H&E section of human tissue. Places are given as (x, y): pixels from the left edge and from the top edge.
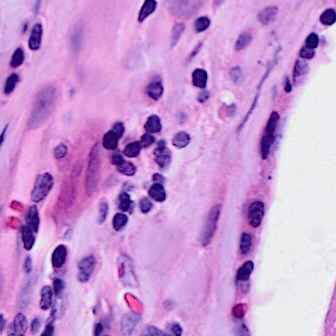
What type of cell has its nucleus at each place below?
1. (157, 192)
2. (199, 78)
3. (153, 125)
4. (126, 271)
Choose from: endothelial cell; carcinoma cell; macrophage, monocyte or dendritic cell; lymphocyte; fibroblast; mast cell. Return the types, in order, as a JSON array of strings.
["lymphocyte", "lymphocyte", "lymphocyte", "endothelial cell"]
